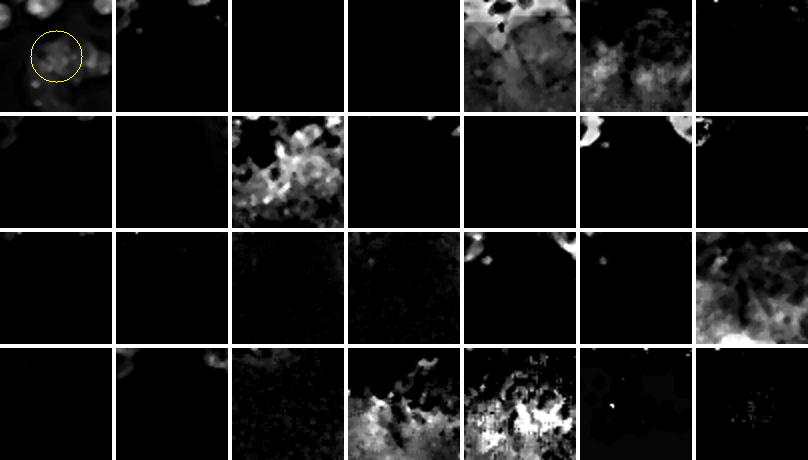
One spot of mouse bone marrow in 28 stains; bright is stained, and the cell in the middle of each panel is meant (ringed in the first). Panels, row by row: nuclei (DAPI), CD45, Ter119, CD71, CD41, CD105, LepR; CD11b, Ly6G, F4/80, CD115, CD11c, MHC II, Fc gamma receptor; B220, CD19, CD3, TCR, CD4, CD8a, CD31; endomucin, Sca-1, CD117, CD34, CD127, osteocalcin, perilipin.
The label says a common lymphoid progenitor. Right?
Right.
